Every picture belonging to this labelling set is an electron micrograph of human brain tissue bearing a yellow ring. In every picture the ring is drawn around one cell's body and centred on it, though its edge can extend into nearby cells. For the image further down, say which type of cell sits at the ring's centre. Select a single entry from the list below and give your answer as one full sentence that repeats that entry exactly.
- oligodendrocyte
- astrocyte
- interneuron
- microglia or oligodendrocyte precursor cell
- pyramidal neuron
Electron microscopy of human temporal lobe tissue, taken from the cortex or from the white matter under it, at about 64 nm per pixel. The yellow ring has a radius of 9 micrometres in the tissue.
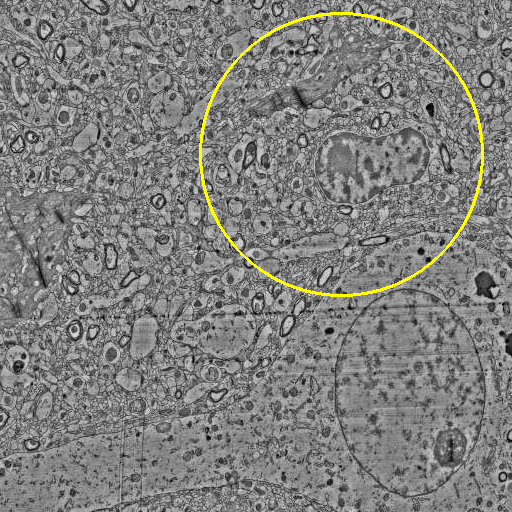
In the picture, a microglial cell or oligodendrocyte precursor cell is the cell at the centre of the yellow ring.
